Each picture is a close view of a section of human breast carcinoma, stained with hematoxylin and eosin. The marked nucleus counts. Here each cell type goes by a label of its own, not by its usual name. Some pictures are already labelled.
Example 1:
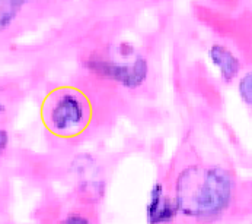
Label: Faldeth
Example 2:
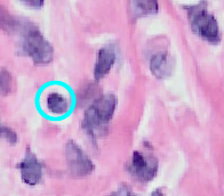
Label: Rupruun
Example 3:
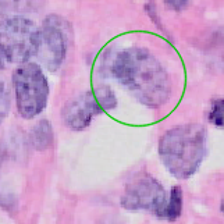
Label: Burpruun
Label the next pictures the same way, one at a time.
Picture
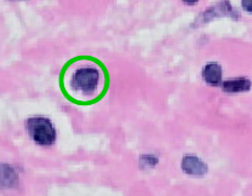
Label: Rupruun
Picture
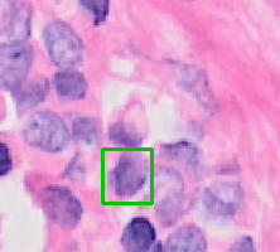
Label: Burpruun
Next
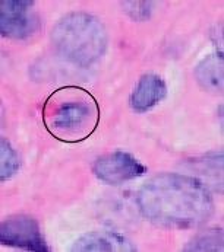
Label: Faldeth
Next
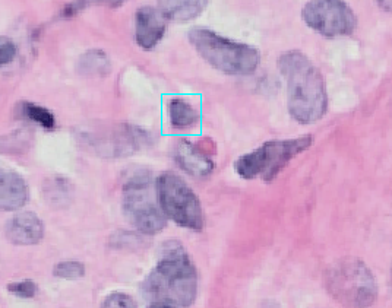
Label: Faldeth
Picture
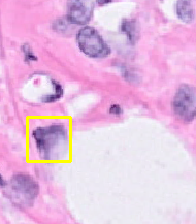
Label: Burpruun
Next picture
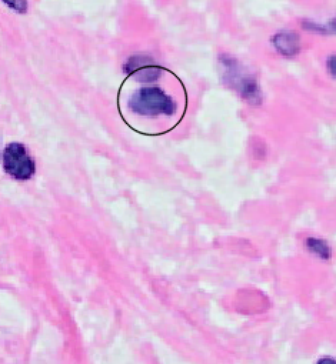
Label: Rupruun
